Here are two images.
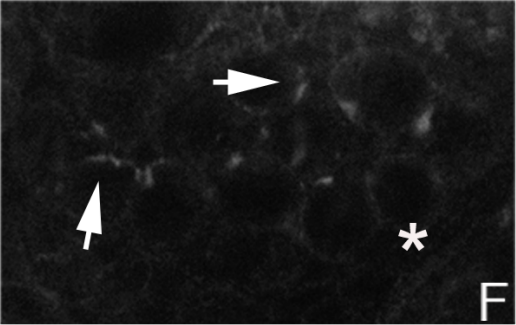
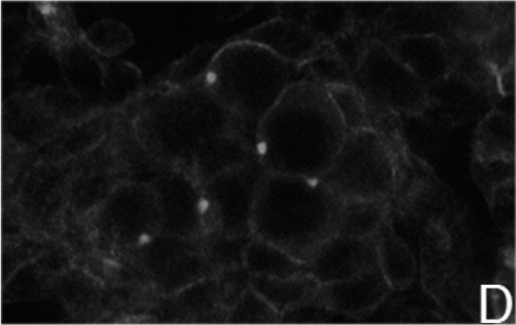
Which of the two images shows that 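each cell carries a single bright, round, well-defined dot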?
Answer: the second image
